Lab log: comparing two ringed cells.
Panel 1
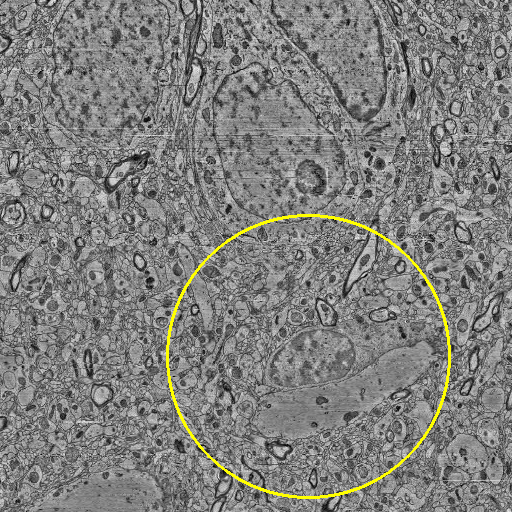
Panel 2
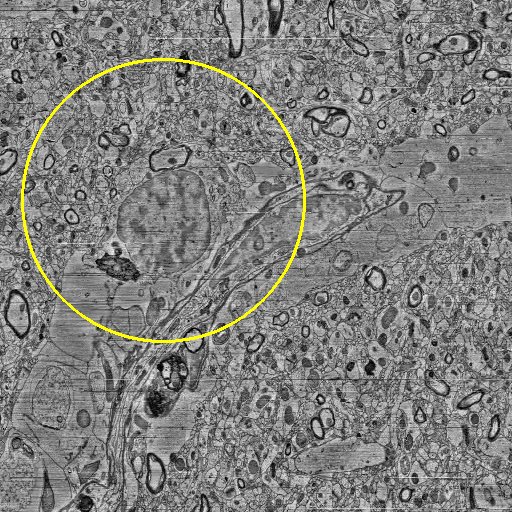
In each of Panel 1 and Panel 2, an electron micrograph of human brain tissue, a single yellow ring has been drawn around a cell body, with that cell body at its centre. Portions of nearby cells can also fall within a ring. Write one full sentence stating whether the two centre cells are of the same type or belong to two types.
The cells at the ring centres in Panel 1 and Panel 2 are of the same type.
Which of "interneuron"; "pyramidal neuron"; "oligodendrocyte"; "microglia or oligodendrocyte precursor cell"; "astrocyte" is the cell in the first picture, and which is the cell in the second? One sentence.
Each one of the two ringed cells is an oligodendrocyte.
